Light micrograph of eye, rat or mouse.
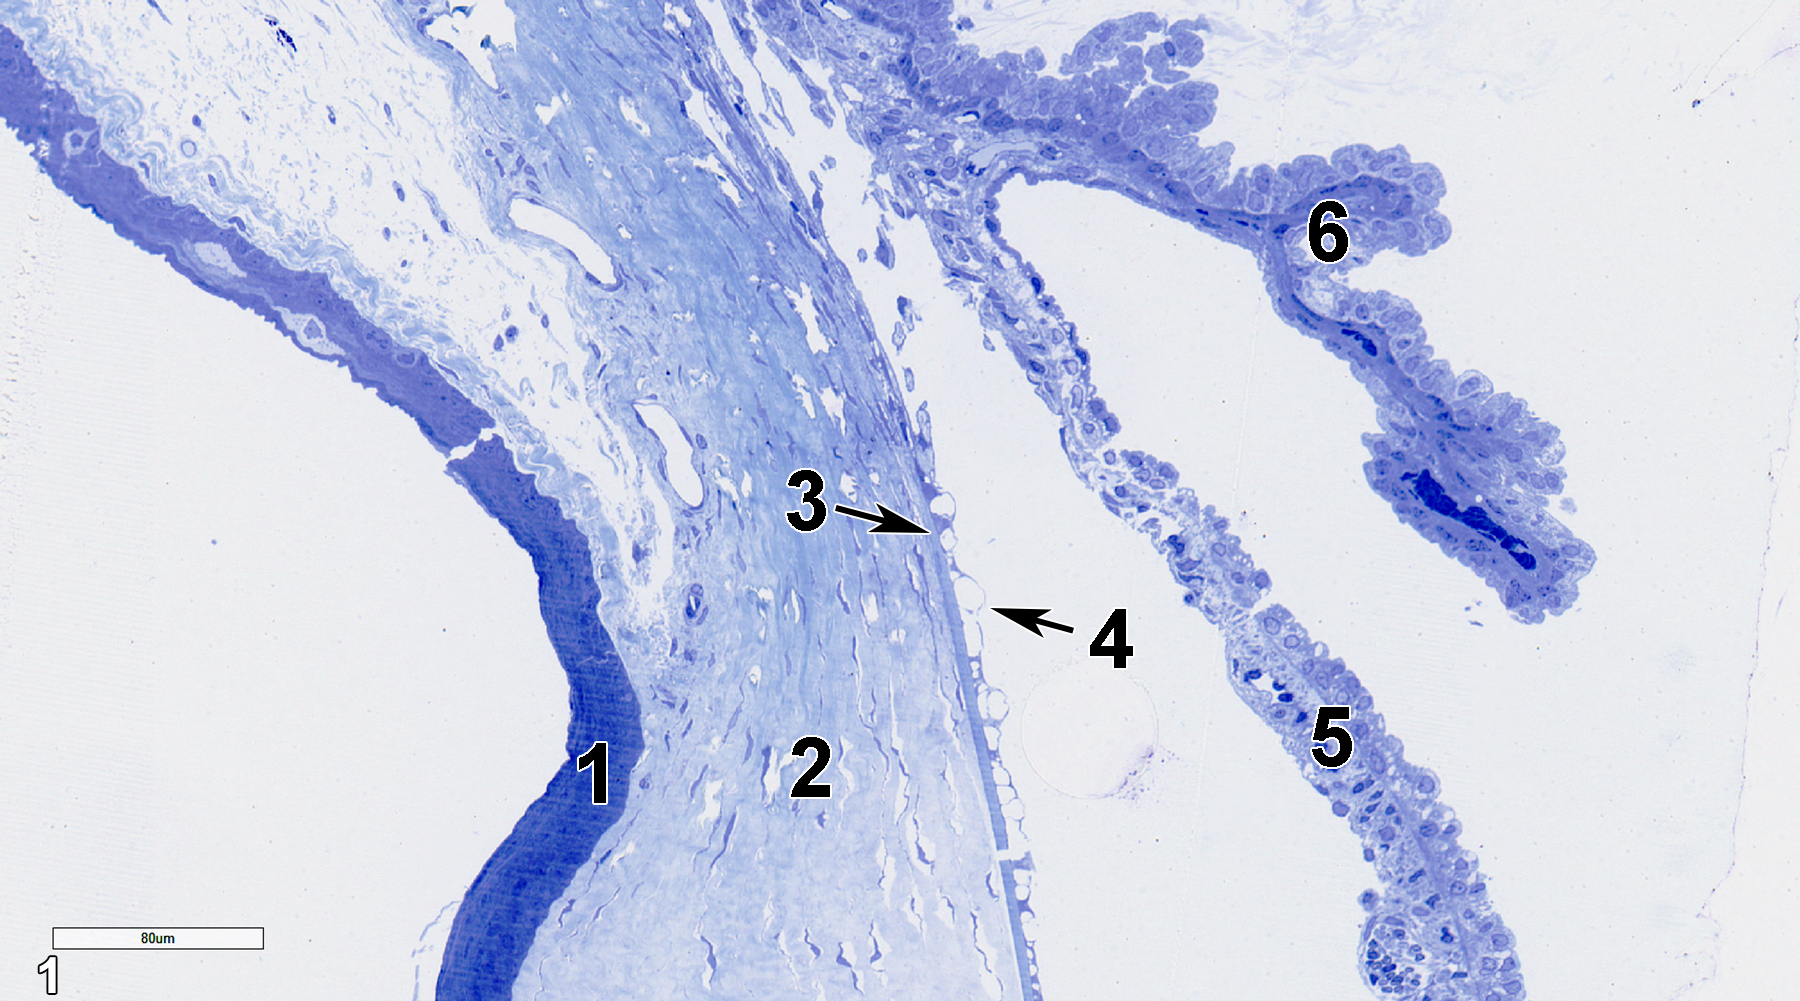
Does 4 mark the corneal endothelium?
Yes.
